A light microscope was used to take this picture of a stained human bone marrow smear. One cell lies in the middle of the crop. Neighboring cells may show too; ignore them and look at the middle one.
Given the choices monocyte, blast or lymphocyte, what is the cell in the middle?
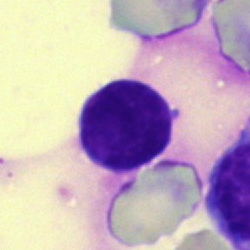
lymphocyte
